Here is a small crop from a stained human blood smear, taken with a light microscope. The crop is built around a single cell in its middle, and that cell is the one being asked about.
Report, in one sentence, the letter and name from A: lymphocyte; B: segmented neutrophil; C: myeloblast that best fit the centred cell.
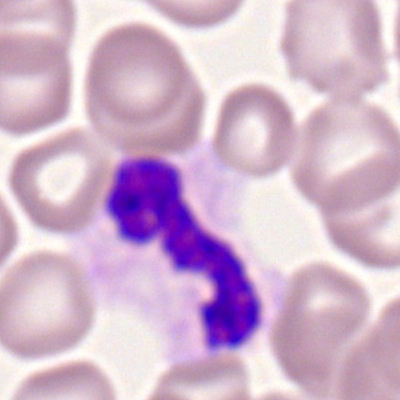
Since the middle cell is a segmented neutrophil, option B is the right one.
